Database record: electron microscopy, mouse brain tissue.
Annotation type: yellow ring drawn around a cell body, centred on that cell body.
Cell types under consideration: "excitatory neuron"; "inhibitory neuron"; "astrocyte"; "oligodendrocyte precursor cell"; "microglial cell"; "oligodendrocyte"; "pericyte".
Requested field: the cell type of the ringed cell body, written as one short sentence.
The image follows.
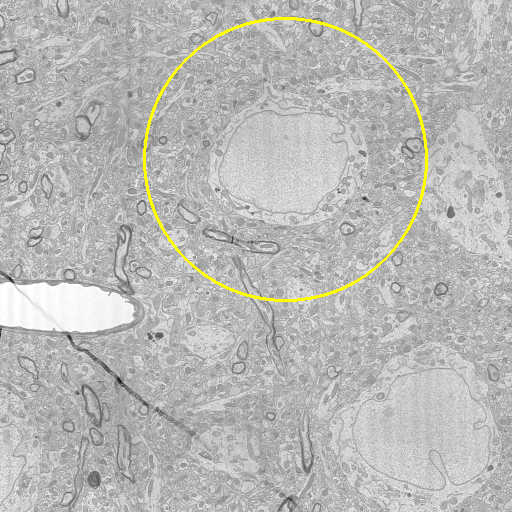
The ringed cell body represents an inhibitory neuron.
